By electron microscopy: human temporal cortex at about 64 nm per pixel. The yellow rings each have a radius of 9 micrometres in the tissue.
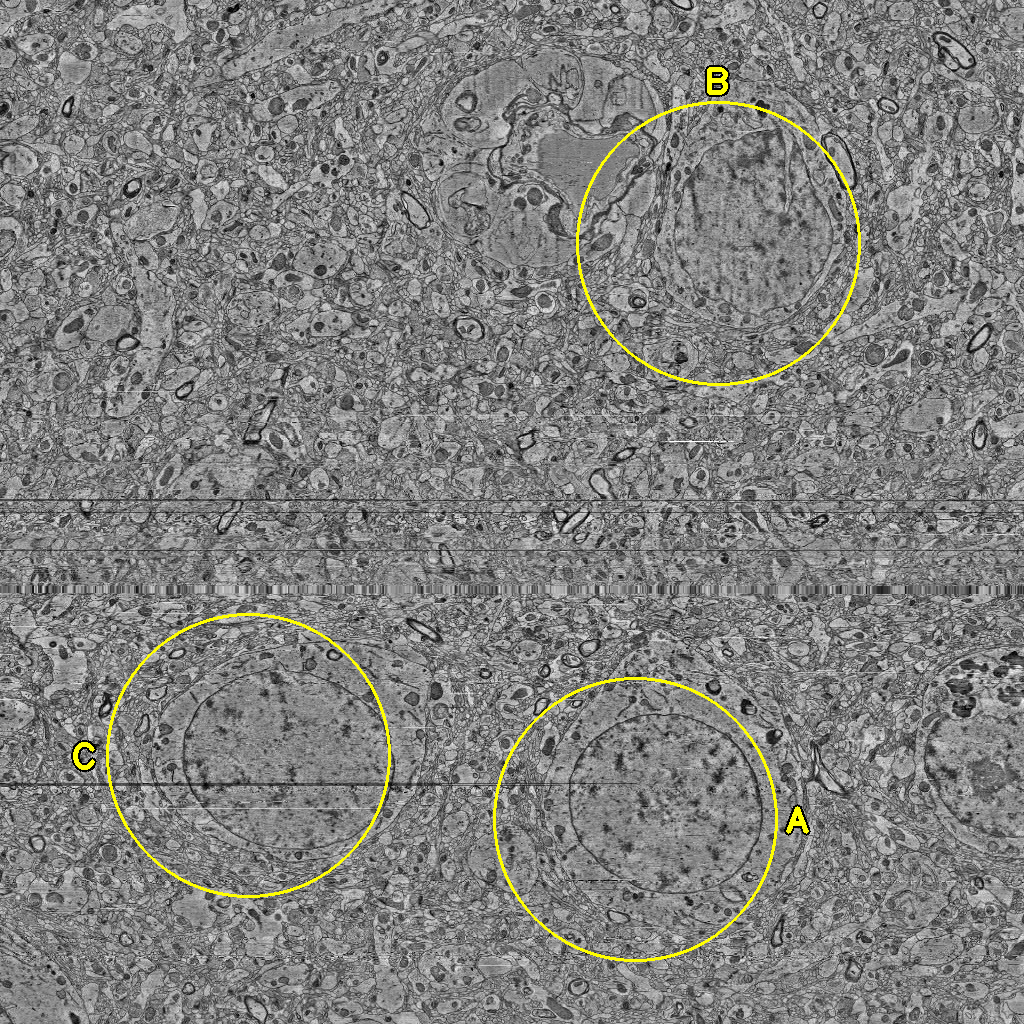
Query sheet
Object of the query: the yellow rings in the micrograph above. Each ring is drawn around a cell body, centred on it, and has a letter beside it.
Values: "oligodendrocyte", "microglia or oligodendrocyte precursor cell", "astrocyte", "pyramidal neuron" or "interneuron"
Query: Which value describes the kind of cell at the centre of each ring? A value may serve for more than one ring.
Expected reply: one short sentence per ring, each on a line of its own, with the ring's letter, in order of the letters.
I assign a pyramidal neuron to ring A.
I assign an interneuron to ring B.
I assign a pyramidal neuron to ring C.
